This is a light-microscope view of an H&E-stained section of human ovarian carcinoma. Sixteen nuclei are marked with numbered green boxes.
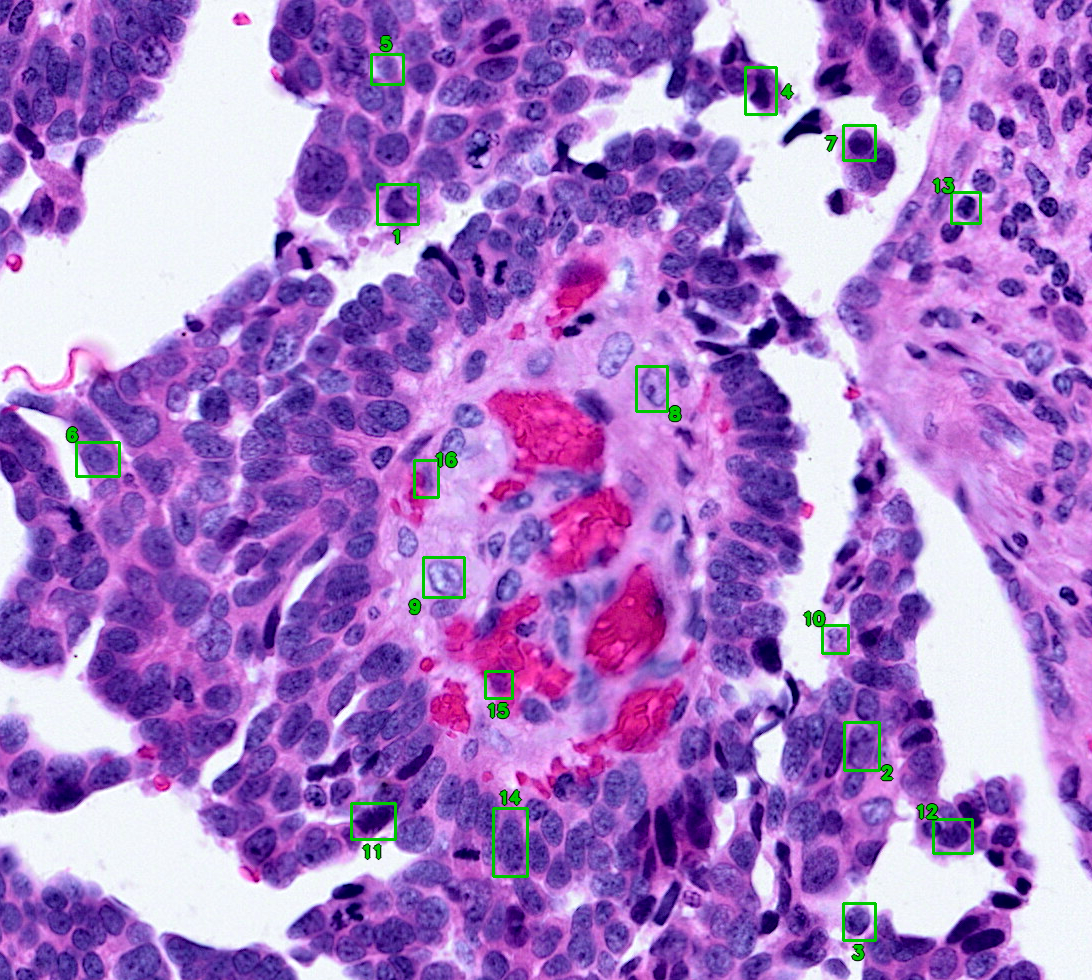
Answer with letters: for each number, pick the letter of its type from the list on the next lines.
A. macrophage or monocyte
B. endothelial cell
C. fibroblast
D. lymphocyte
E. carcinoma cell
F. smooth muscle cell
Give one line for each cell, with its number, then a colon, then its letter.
1: E
2: E
3: A
4: E
5: E
6: E
7: E
8: C
9: C
10: A
11: E
12: E
13: D
14: E
15: B
16: B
